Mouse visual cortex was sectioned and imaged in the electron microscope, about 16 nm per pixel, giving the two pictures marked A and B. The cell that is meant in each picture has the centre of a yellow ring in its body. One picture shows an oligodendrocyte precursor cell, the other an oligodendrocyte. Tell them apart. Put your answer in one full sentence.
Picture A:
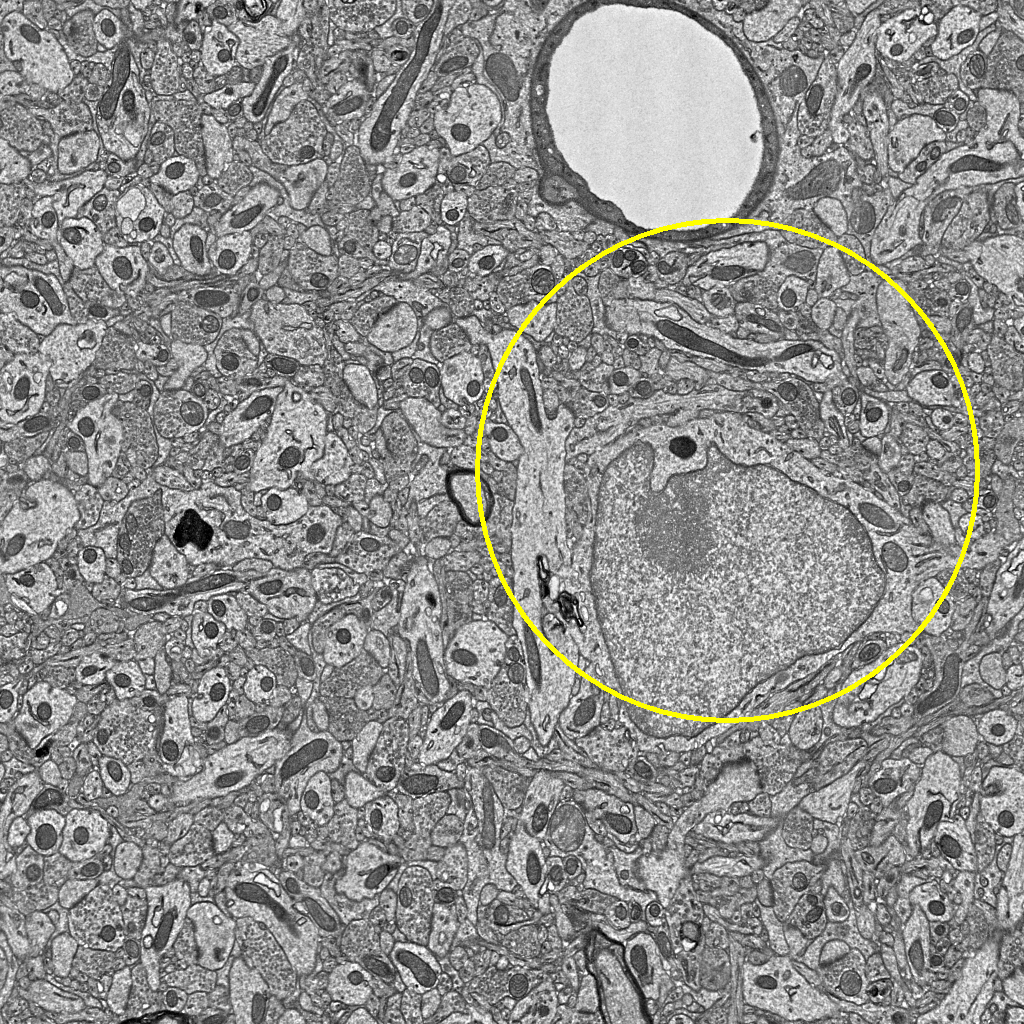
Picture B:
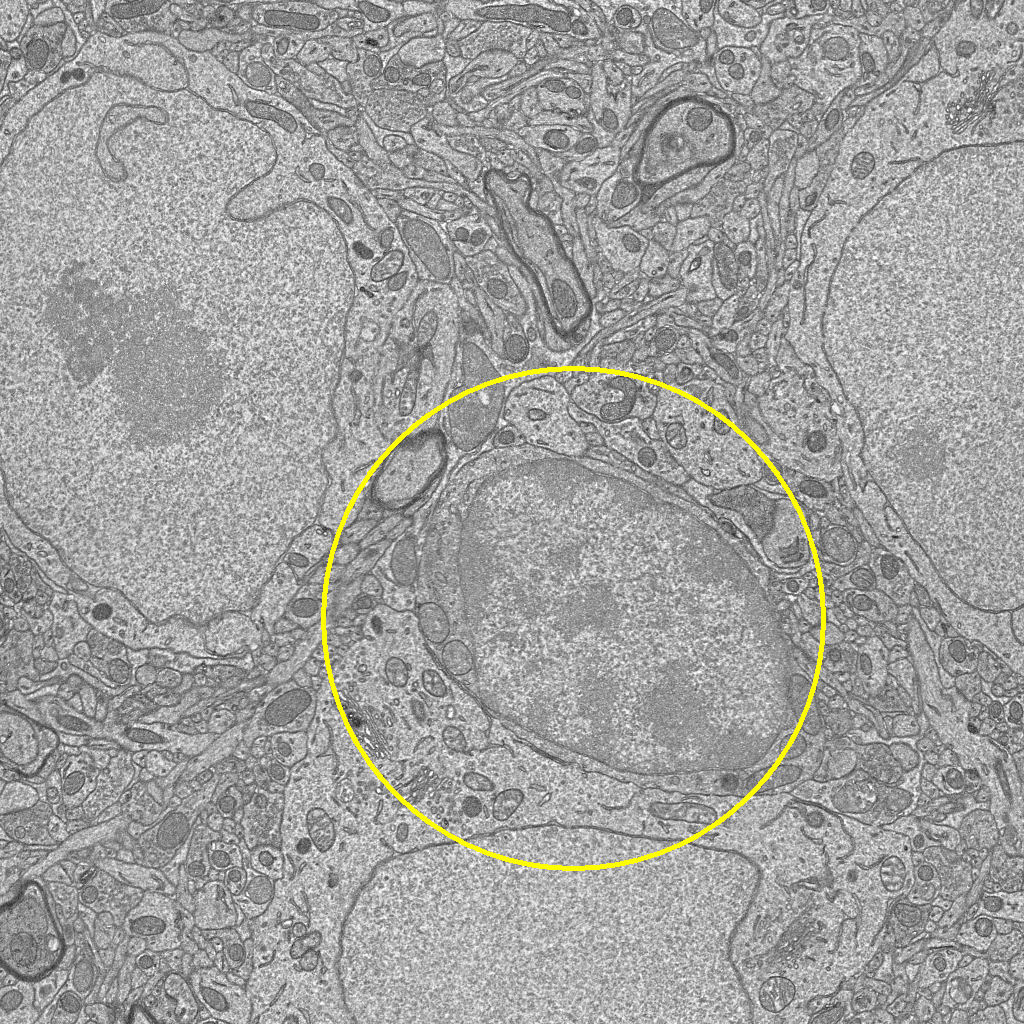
Picture B shows an oligodendrocyte, while picture A shows an oligodendrocyte precursor cell.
